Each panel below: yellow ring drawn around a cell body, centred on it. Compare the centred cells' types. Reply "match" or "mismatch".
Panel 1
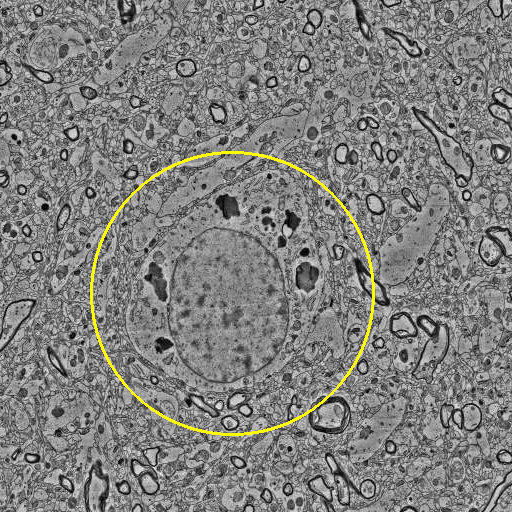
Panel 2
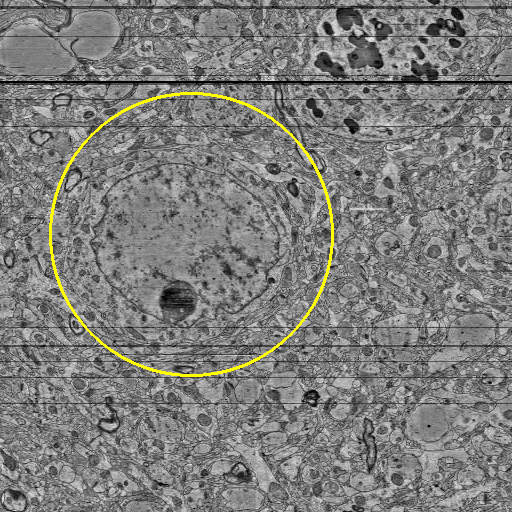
mismatch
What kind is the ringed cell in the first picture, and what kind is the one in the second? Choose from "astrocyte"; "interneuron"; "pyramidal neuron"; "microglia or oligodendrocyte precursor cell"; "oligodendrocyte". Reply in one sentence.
The first cell is an interneuron; the second is a pyramidal neuron.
